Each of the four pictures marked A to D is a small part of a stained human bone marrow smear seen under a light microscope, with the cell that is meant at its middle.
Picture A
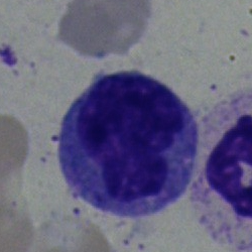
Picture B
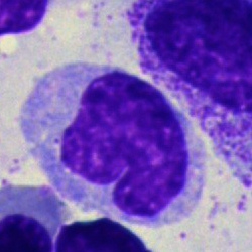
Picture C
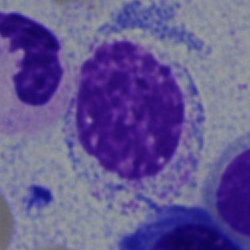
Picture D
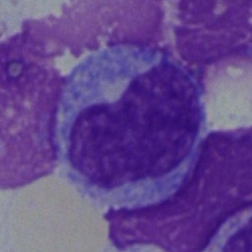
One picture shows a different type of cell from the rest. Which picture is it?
C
